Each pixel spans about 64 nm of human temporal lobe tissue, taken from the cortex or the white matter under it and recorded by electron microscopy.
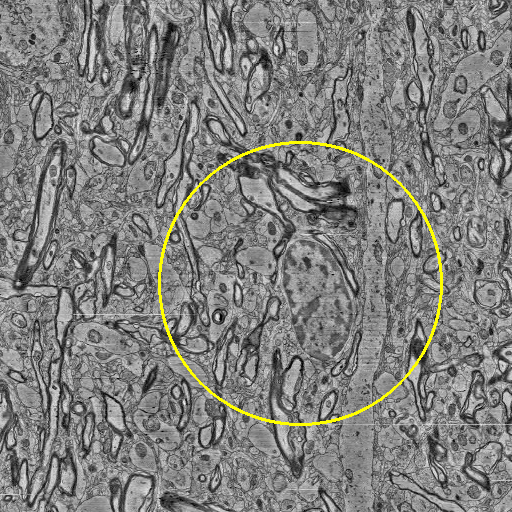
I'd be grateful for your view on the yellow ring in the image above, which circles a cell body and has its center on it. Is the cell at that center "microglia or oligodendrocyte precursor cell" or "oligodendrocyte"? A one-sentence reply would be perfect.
The cell at the center of the yellow ring is a microglial cell or oligodendrocyte precursor cell.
